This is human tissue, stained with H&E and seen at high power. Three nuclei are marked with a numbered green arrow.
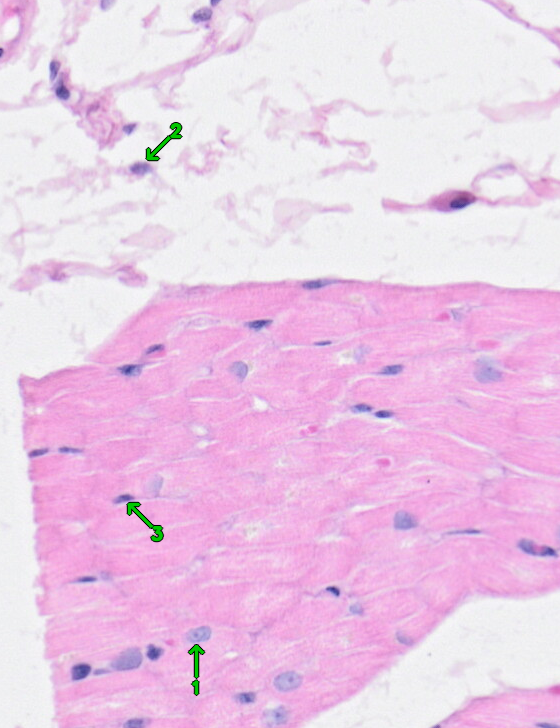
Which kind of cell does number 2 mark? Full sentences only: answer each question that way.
The cell pointed out by number 2 is a fibroblast.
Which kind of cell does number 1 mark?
The cell that goes by number 1 is a cardiomyocyte.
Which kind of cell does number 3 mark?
The cell pointed out by number 3 is an endothelial cell.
